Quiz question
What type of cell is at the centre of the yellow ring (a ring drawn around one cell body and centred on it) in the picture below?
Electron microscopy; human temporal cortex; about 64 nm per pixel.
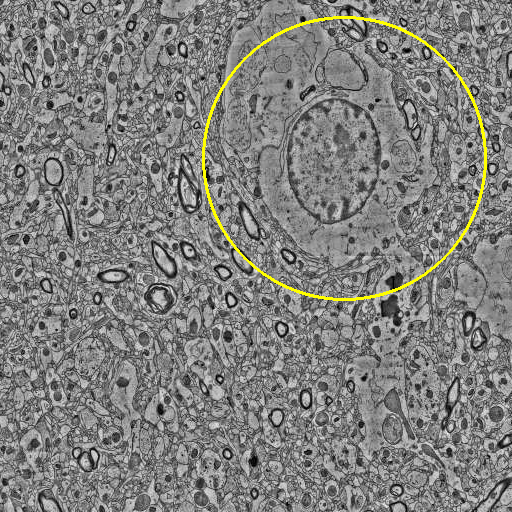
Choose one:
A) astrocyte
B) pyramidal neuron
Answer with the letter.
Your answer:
A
